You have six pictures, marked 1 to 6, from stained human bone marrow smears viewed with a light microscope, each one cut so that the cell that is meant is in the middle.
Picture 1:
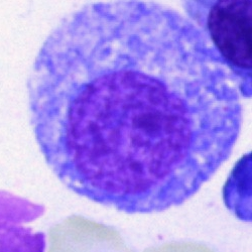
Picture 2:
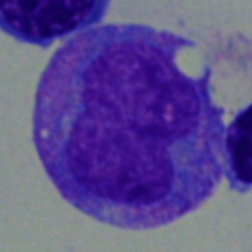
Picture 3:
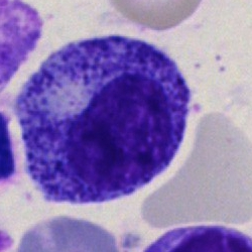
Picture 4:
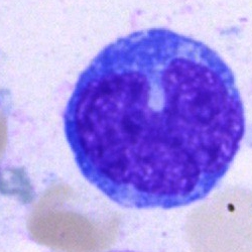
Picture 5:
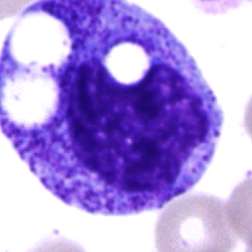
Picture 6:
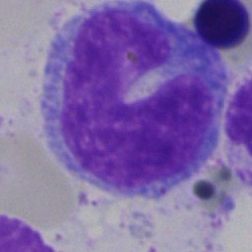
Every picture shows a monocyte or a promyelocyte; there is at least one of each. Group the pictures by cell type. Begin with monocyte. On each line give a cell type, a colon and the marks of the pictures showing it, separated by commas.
monocyte: 2, 4, 6
promyelocyte: 1, 3, 5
